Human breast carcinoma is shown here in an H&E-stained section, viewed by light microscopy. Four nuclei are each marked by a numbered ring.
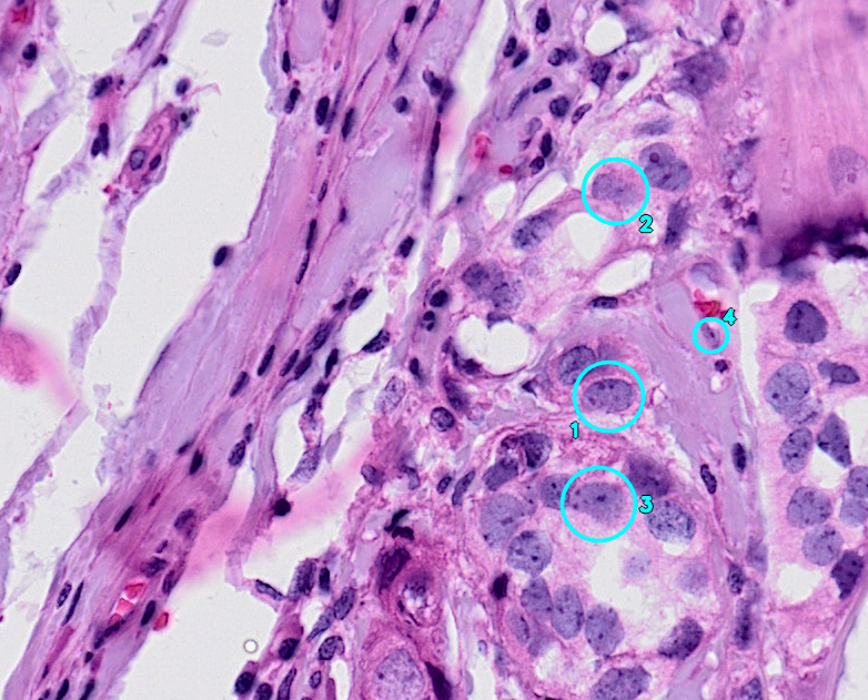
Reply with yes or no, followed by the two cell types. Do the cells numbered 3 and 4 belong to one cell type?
No, sorry, cell 3 is a carcinoma cell and cell 4 is an endothelial cell.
